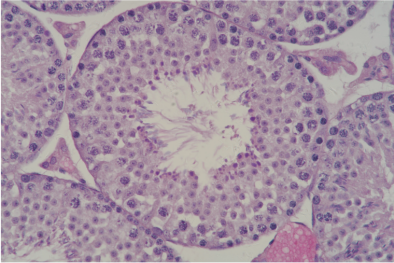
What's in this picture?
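This is a cross-section of a seminiferous tubule of the testis, stained pink and purple. The tubule is lined by a thick stratified epithelium of germ cells, with small dark nuclei at the base and larger round nuclei in the middle layers. Toward the centre the cells become smaller and more crowded, and pale wispy flagella project into the lumen, forming a star-shaped pale area. Between neighbouring tubules lie narrow interstitial spaces, and a pink homogeneous mass sits in the interstitium at the lower right. The epithelium appears complete and orderly from the base to the lumen.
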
